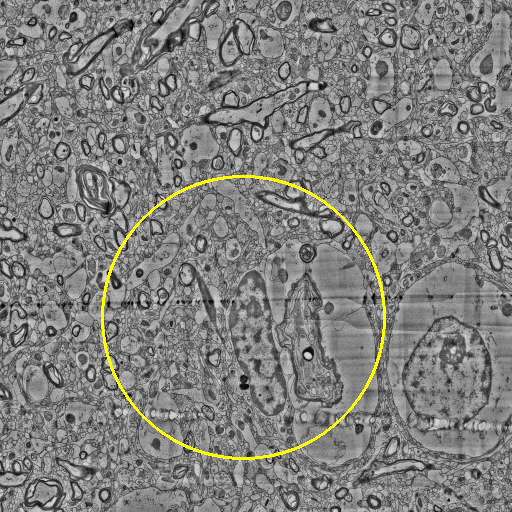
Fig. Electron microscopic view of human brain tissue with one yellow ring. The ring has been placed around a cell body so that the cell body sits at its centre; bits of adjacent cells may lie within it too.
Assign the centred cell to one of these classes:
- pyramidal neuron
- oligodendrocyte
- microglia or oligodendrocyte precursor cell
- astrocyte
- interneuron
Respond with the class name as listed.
microglia or oligodendrocyte precursor cell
